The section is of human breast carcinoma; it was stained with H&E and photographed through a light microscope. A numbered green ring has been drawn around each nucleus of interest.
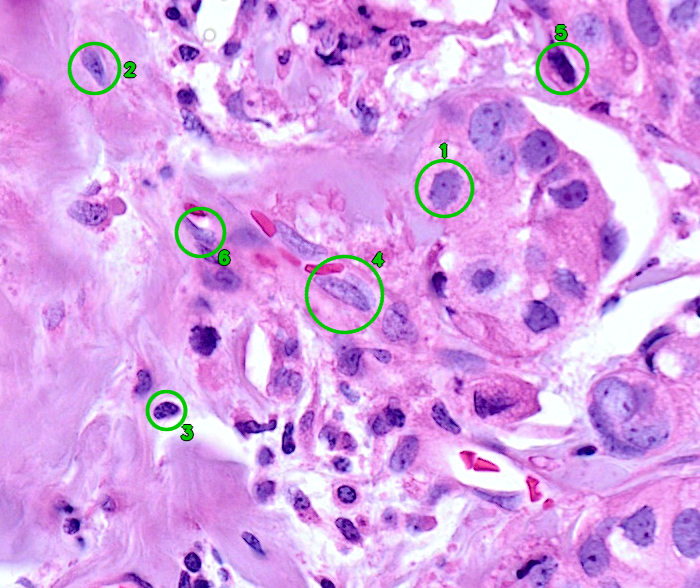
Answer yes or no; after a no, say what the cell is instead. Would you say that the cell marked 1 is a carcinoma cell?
Yes.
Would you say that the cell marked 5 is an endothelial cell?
No, it is a carcinoma cell.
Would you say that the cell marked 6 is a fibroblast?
No, it is an endothelial cell.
